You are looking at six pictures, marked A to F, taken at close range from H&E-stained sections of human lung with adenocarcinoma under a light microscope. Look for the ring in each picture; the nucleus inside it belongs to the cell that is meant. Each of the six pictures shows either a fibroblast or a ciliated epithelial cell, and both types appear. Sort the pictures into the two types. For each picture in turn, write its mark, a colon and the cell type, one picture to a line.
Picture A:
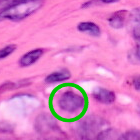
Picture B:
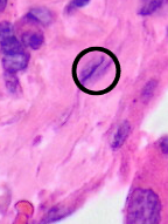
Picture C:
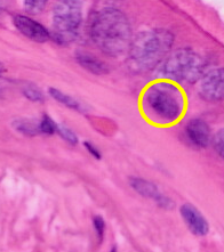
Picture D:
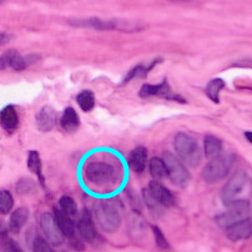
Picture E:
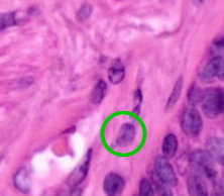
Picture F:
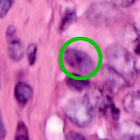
A: ciliated epithelial cell
B: fibroblast
C: ciliated epithelial cell
D: ciliated epithelial cell
E: fibroblast
F: ciliated epithelial cell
